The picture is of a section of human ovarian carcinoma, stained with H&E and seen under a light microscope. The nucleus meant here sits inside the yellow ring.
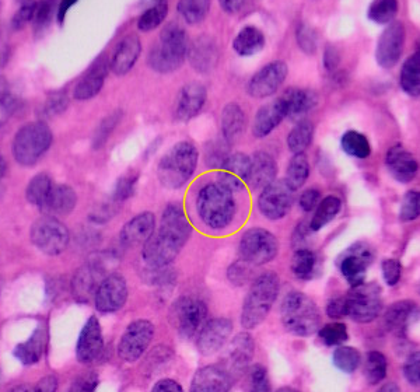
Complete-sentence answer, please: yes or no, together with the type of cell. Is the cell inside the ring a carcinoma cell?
Yes, it holds that the cell inside the ring is a carcinoma cell.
